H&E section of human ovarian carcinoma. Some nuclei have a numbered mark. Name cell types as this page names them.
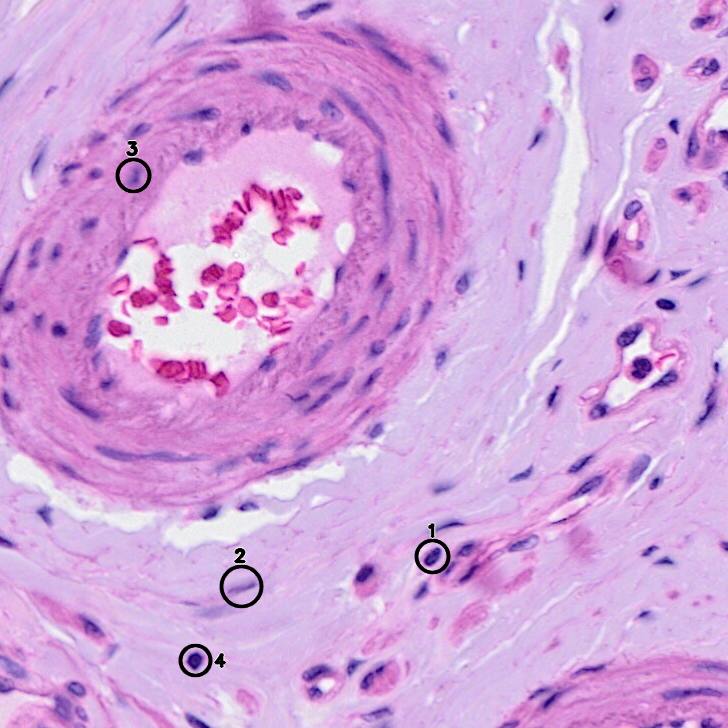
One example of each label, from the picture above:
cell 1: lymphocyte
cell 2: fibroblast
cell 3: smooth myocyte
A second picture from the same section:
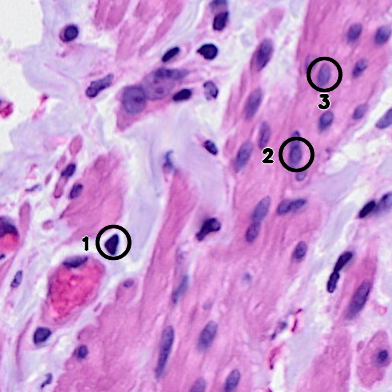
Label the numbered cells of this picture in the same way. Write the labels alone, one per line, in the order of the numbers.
lymphocyte
smooth myocyte
smooth myocyte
